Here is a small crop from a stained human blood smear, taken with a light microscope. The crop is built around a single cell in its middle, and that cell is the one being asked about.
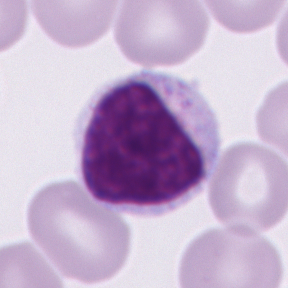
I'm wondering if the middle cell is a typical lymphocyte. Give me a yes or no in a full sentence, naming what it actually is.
No, instead of a typical lymphocyte, the middle cell is a large granular lymphocyte.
